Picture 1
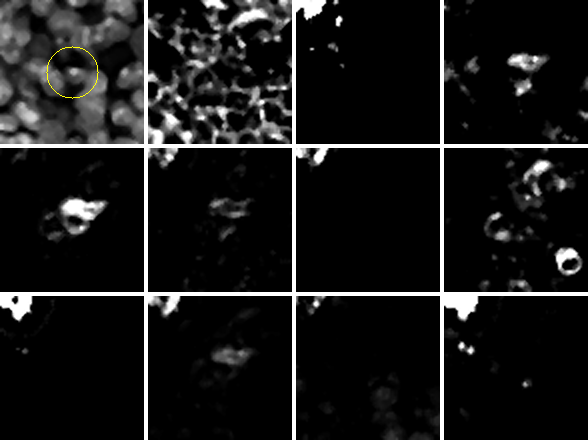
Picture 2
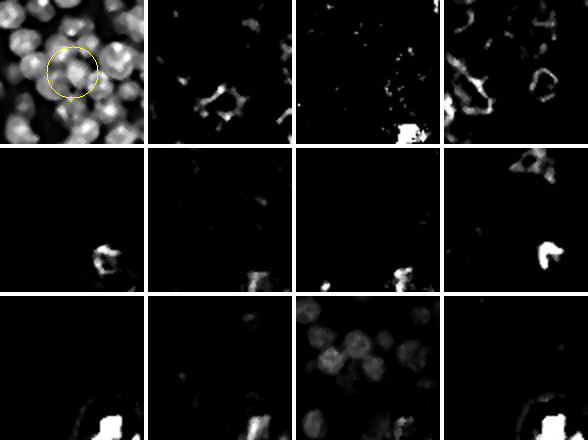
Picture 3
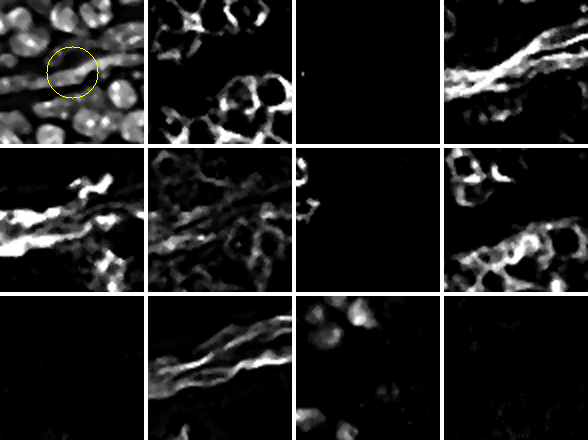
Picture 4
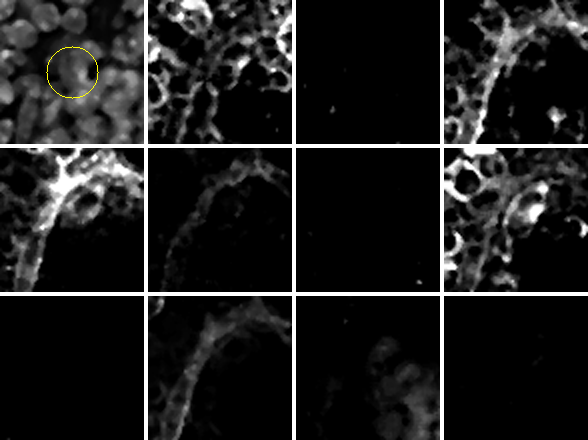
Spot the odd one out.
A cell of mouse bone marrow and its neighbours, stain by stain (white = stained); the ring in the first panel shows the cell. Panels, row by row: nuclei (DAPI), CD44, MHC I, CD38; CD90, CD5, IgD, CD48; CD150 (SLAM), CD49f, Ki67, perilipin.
Picture 2 (an erythroblast among capillary endothelial cells).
